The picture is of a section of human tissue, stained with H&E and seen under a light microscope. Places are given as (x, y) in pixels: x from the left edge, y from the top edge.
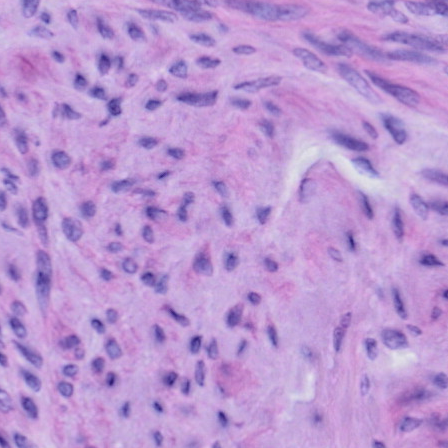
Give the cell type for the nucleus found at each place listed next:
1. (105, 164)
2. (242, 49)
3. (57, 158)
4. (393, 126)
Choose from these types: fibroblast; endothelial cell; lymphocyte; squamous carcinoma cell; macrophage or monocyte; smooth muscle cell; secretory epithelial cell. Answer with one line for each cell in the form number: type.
1: smooth muscle cell
2: smooth muscle cell
3: smooth muscle cell
4: fibroblast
